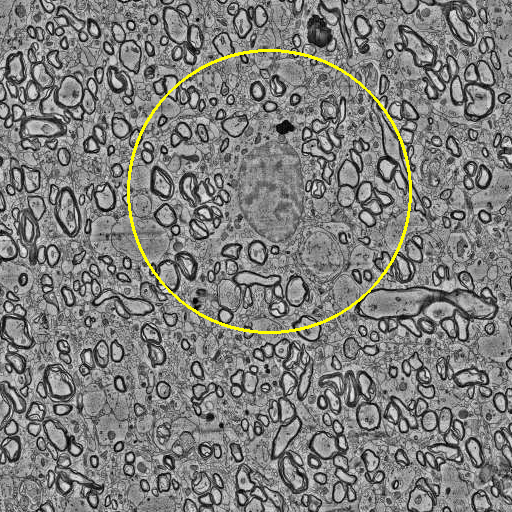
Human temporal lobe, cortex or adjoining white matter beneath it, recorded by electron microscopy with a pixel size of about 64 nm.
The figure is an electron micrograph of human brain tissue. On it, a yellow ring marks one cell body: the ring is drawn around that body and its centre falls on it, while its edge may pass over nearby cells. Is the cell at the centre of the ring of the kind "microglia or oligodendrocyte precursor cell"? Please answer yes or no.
no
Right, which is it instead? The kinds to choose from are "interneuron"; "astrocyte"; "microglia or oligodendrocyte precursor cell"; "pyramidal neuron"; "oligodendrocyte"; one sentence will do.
It is an oligodendrocyte at the centre of the ring.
